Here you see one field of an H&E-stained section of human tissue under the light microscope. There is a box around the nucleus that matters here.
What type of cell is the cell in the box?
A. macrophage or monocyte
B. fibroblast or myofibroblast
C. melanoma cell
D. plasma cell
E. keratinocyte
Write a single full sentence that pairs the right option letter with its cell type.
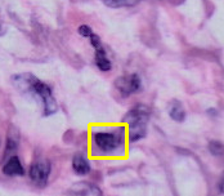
The item is answered by option D: the cell in the box is a plasma cell.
